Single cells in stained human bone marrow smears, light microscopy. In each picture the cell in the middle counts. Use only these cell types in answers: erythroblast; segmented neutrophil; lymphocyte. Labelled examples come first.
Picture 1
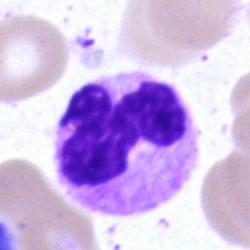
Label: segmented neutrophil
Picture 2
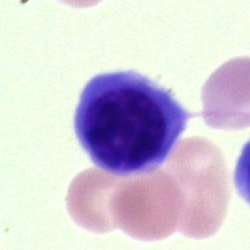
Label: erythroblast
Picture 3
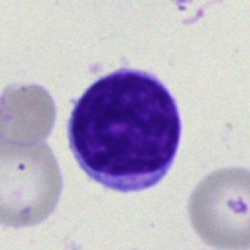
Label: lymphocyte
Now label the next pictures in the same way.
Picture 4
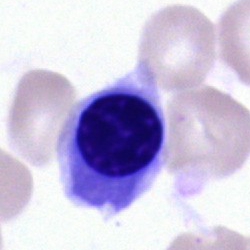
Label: erythroblast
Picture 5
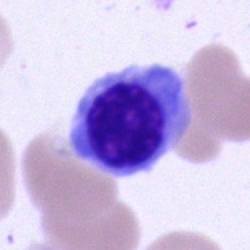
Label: erythroblast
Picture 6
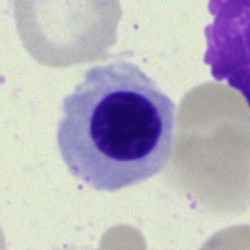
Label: erythroblast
